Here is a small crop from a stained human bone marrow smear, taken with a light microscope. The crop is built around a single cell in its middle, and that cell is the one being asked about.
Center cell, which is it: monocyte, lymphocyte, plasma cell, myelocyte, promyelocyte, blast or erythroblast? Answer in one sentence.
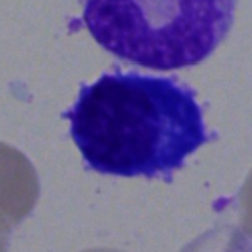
Standing at the centre of this crop is a plasma cell.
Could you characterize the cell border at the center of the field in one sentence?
The margin of this cell is irregular, showing raggedness or projections instead of smoothness.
